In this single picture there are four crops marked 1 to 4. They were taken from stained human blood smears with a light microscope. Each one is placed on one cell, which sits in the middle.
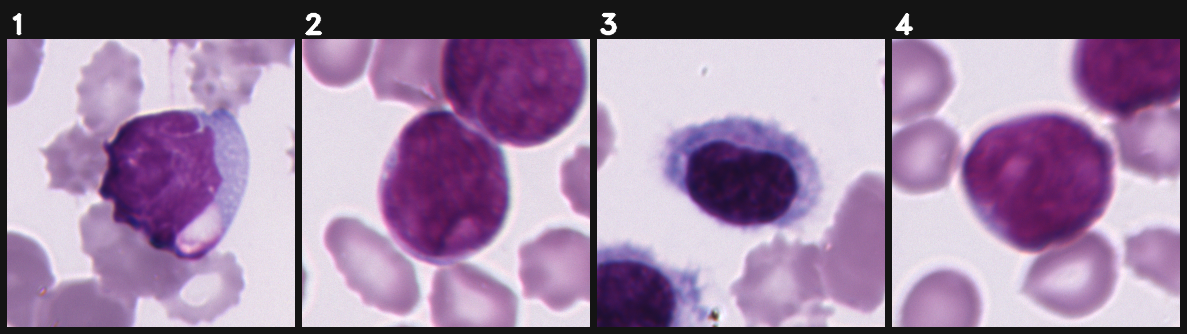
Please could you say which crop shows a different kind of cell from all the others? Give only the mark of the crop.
3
